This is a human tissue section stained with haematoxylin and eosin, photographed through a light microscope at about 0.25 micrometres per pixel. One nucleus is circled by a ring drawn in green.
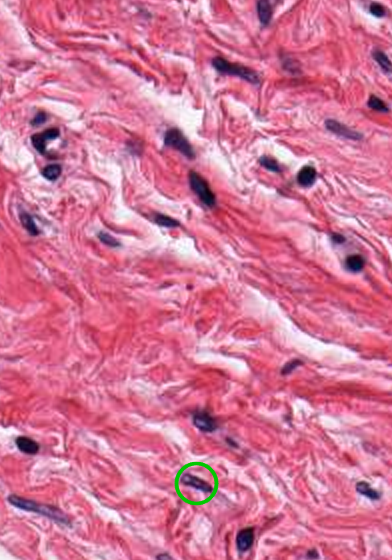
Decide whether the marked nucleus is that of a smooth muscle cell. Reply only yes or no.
no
